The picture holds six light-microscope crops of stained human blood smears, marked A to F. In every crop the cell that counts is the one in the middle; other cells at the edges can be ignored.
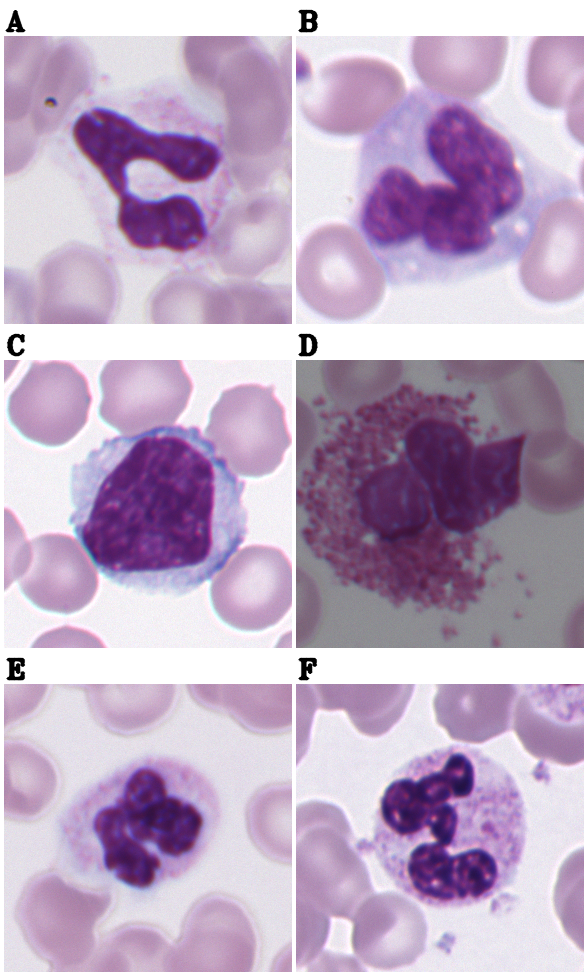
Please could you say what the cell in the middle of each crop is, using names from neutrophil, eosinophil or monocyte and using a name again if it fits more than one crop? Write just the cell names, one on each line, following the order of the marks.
neutrophil
monocyte
monocyte
eosinophil
neutrophil
neutrophil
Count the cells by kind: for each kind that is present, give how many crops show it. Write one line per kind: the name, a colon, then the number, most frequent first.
neutrophil: 3
monocyte: 2
eosinophil: 1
